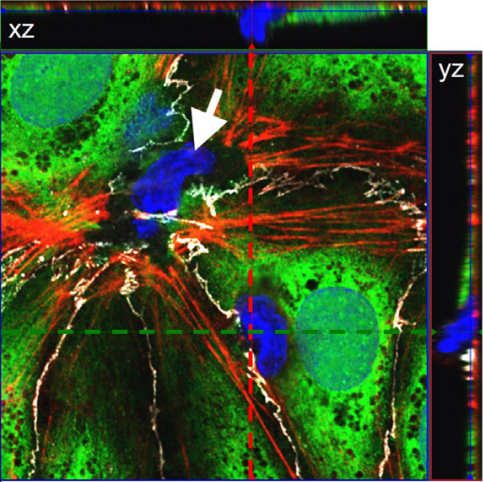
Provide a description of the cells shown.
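These are large, flat endothelial cells grown as a sheet, with a crossing white blood cell lodged between them. The endothelial cells have broad green cytoplasm with a speckled texture and large oval nuclei. Long red fibres run across their bodies, and the borders between cells are traced by jagged, fragmented white lines. Near the top a cell showing only blue, with an irregular, lobed nucleus, sits right at a border between endothelial cells, and the white line is broken where it lies. A second elongated blue nucleus lies lower beside another endothelial cell. The side views show how thin the sheet is.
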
